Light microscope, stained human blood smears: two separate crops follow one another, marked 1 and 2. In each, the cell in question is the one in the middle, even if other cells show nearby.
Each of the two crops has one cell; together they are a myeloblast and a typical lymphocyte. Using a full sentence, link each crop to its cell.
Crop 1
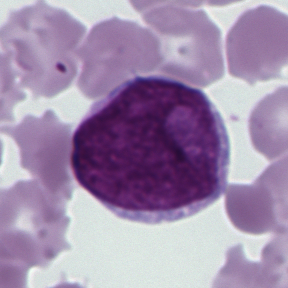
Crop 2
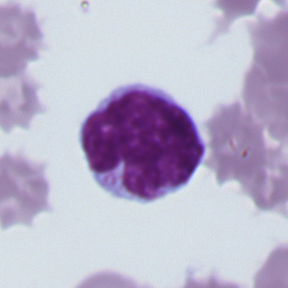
In this set, crop 1 is a myeloblast and crop 2 is a typical lymphocyte.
